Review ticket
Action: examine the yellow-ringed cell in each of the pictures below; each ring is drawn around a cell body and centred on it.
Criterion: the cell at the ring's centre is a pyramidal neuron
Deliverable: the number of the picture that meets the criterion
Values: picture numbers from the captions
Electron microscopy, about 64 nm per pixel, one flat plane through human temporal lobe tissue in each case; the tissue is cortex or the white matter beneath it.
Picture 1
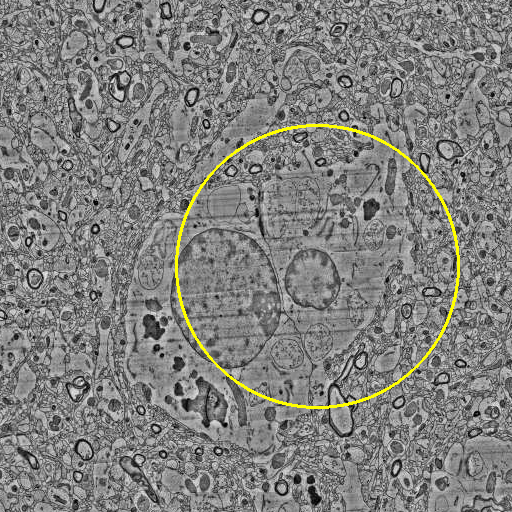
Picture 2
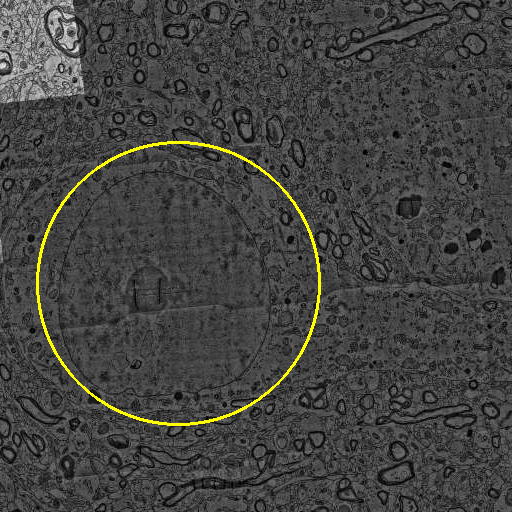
2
